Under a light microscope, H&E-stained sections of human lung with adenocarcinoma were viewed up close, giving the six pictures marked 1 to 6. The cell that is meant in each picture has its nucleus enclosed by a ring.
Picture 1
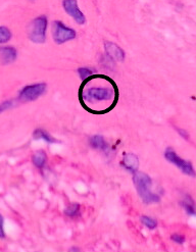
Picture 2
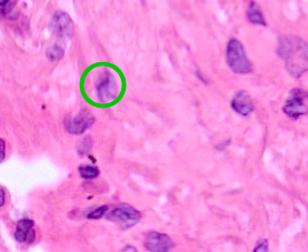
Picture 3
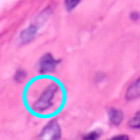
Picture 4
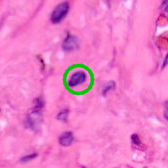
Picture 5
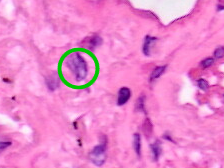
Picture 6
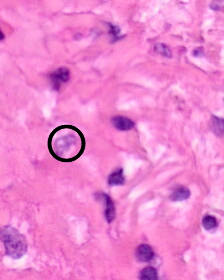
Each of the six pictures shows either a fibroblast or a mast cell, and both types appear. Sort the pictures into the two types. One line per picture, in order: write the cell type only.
mast cell
fibroblast
fibroblast
mast cell
fibroblast
fibroblast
